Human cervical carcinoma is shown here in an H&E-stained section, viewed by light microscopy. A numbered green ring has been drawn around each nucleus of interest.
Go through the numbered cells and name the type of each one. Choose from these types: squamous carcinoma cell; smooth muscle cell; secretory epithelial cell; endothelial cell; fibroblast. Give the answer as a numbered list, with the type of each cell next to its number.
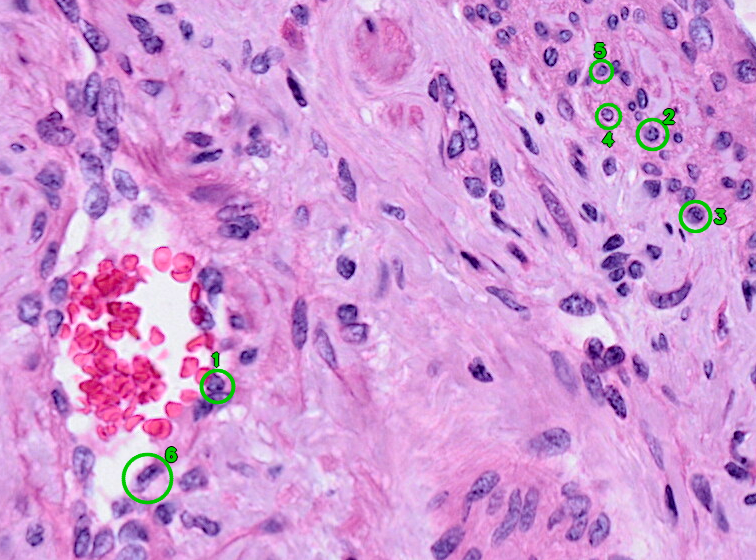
1. endothelial cell
2. smooth muscle cell
3. smooth muscle cell
4. smooth muscle cell
5. smooth muscle cell
6. endothelial cell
